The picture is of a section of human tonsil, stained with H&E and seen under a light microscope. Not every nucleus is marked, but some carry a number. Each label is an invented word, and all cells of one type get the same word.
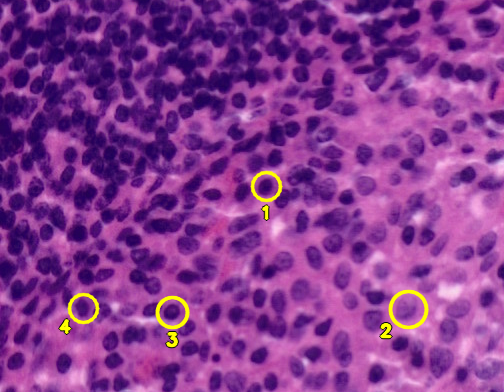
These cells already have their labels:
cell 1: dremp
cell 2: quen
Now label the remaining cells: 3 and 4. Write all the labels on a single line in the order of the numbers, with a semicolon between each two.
dremp; dremp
